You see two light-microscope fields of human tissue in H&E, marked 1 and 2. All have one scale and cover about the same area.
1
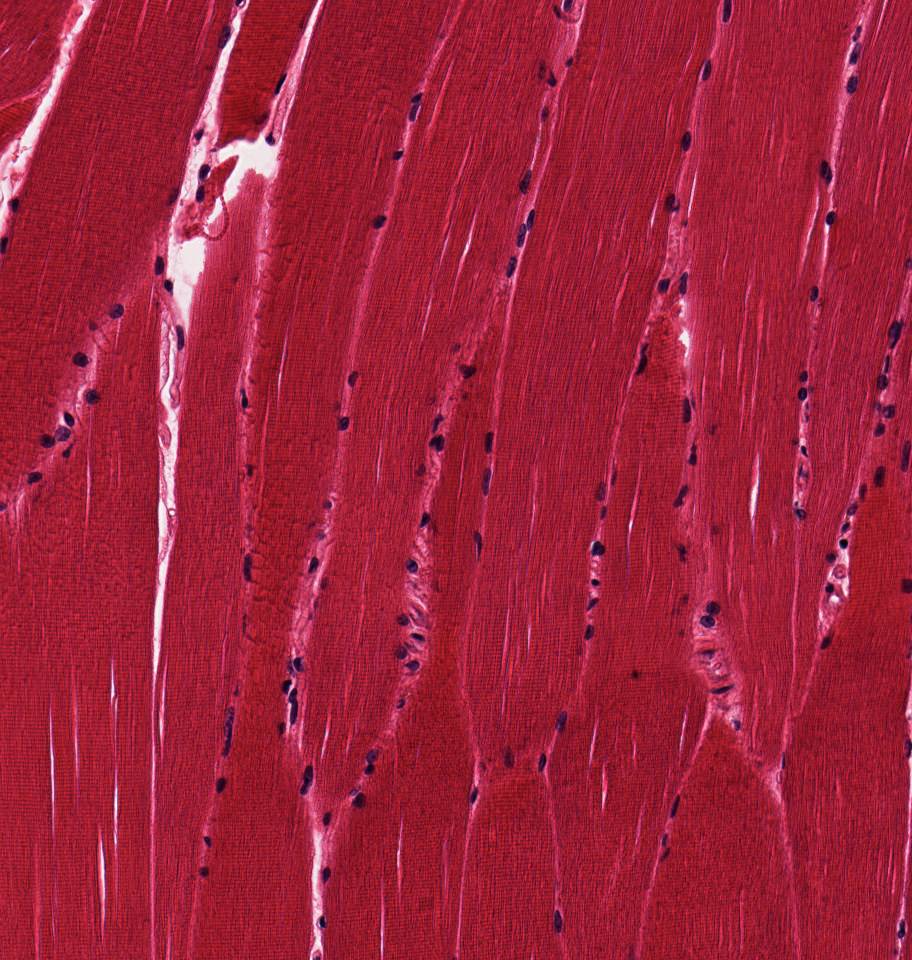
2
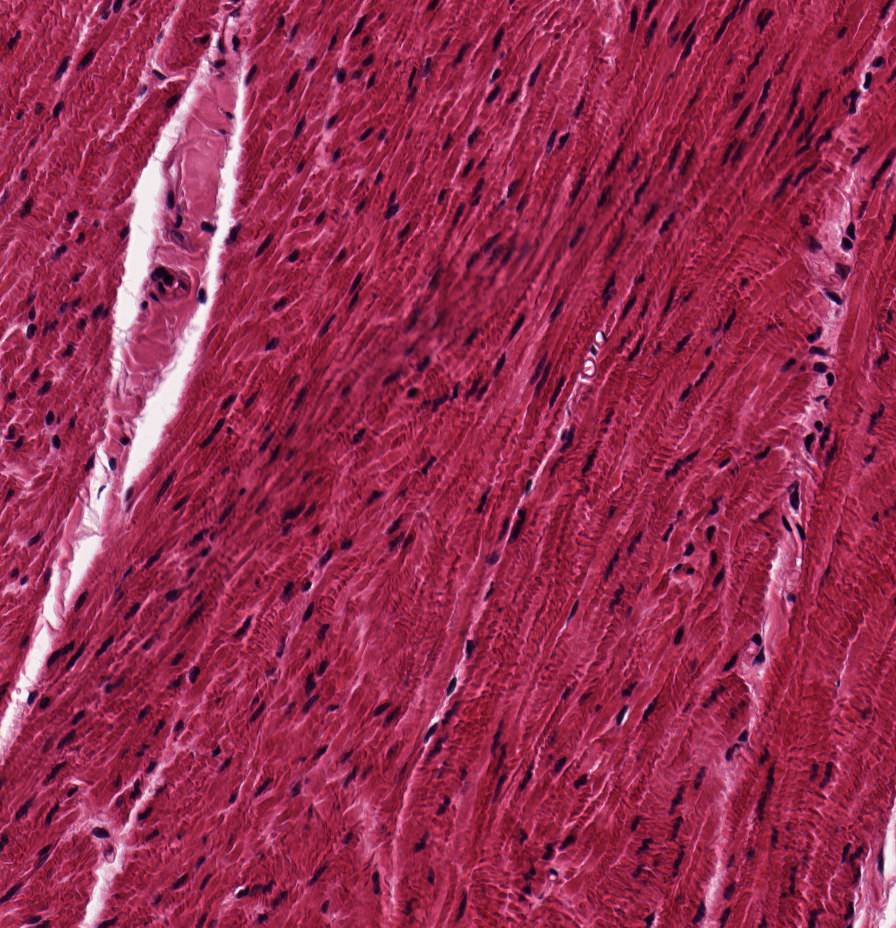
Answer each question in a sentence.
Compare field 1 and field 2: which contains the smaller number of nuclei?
Field 1 holds fewer nuclei than field 2.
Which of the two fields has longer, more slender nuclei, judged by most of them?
It is field 2 whose nuclei are the more elongated.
